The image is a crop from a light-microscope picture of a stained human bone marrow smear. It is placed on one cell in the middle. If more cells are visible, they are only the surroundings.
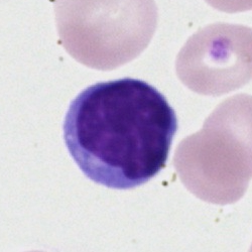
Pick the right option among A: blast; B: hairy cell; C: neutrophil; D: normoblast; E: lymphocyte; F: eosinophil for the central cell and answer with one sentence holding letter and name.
That the central cell is a lymphocyte makes option E correct.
